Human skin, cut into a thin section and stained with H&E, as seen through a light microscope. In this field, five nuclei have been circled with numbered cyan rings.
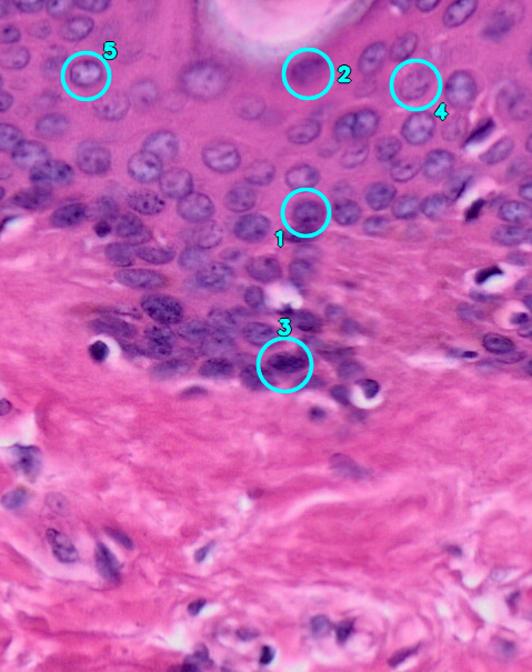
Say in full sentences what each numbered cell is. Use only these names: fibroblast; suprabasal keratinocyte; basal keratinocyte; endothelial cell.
Cells 1 and 3 are basal keratinocytes. Cells 2, 4 and 5 are suprabasal keratinocytes.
